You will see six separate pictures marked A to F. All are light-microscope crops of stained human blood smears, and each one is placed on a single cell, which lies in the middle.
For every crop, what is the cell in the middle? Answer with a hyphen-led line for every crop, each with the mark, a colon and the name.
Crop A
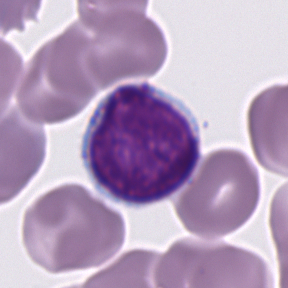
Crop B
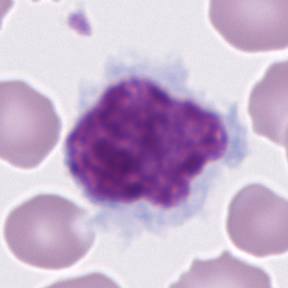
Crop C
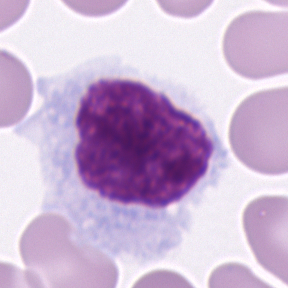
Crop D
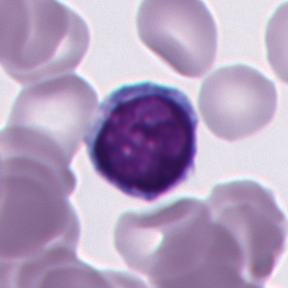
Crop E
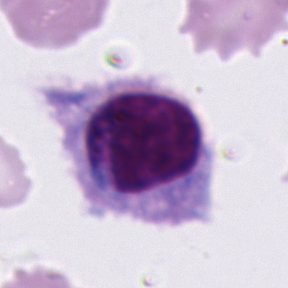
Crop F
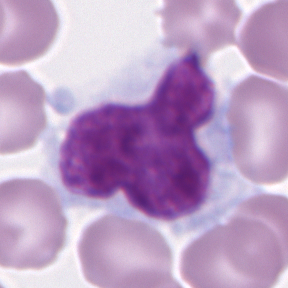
- A: typical lymphocyte
- B: hairy cell
- C: hairy cell
- D: typical lymphocyte
- E: hairy cell
- F: hairy cell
